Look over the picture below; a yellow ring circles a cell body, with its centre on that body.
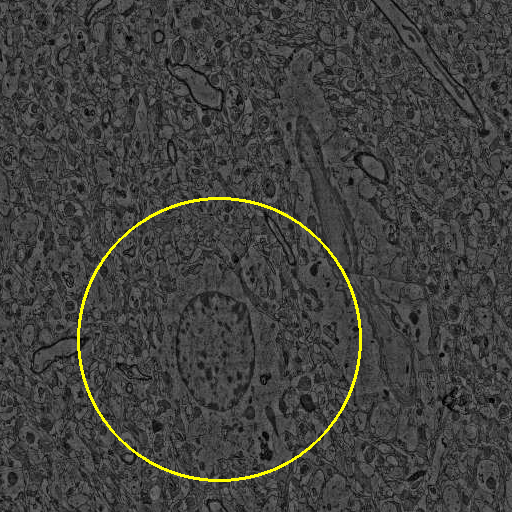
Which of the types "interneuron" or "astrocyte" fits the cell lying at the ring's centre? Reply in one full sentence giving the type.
The picture shows an astrocyte at the centre of the yellow ring.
